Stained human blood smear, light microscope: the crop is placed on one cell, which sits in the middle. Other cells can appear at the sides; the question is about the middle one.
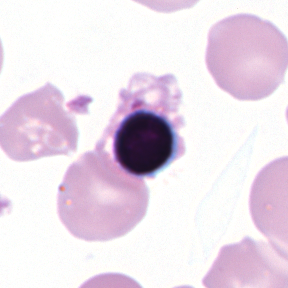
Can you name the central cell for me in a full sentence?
The central cell in this smear crop is an erythroblast.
